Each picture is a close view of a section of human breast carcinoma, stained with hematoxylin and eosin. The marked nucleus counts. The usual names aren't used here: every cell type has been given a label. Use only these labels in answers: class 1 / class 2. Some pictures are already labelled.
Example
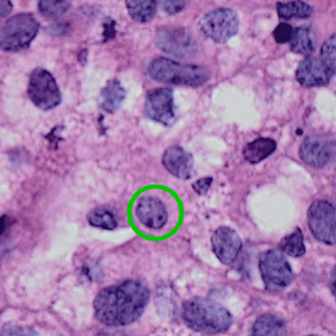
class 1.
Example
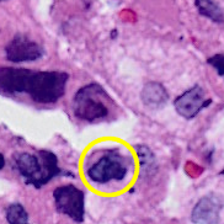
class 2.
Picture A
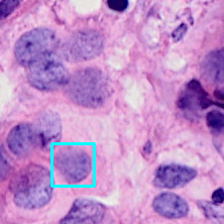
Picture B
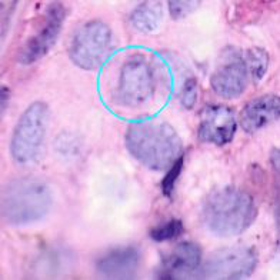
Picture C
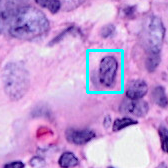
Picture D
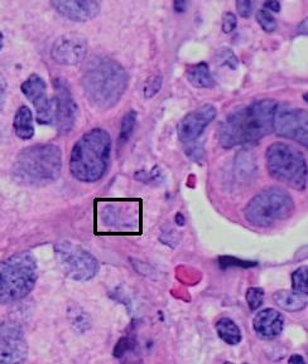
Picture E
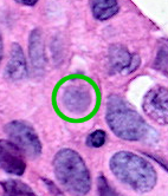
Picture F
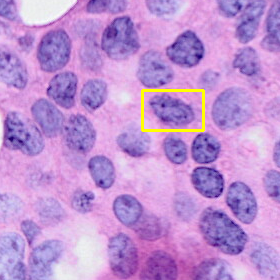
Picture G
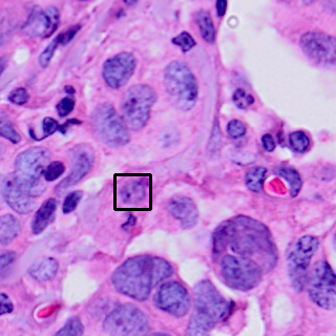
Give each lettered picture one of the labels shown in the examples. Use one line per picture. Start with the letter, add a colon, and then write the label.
A: class 2.
B: class 2.
C: class 1.
D: class 1.
E: class 2.
F: class 2.
G: class 1.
